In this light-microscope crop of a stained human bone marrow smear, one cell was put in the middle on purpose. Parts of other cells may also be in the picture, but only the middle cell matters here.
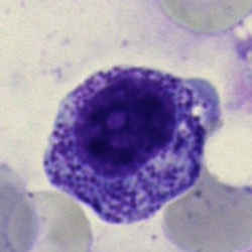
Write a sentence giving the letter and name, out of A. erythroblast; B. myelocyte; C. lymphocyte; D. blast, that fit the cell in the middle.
The centrally located cell is a myelocyte, making option B the correct choice.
